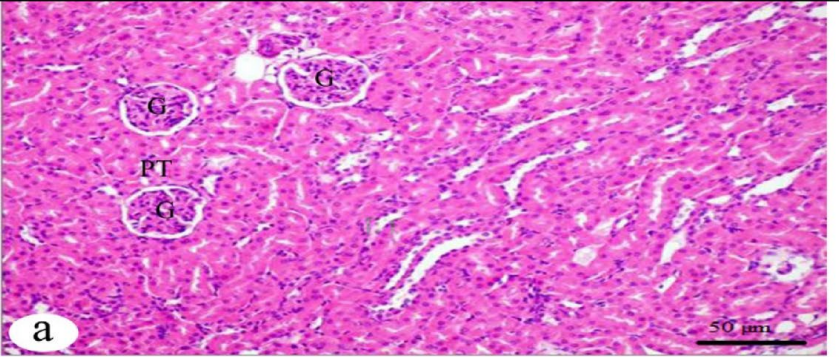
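This section of renal cortex shows several glomeruli set among densely packed convoluted tubules. Each glomerulus is a rounded, cellular capillary tuft with many dark purple nuclei, enclosed by a thin capsule with only a narrow clear space around the tuft. The surrounding tubules are lined by cuboidal epithelial cells with pink, eosinophilic cytoplasm and round basophilic nuclei, and their lumina are narrow. Toward one side the tubules run longitudinally in parallel rows with slit-like lumina. The interstitium between tubules is scant.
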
